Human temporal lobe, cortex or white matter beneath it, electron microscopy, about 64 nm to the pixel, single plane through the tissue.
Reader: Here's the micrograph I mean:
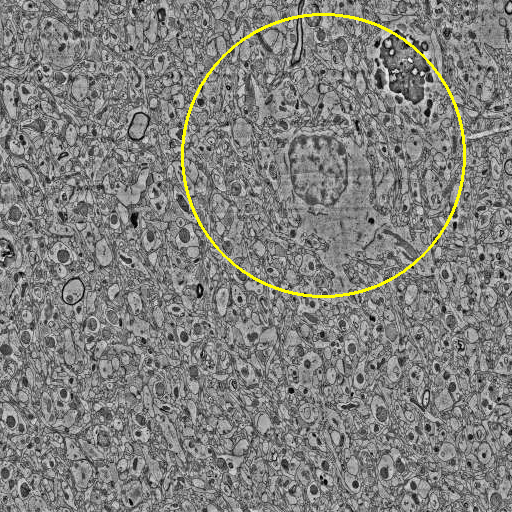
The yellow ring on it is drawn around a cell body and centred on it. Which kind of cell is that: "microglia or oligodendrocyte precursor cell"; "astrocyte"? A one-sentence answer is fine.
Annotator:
The ring is centred on an astrocyte.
